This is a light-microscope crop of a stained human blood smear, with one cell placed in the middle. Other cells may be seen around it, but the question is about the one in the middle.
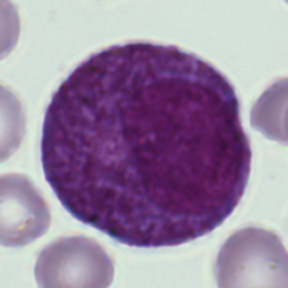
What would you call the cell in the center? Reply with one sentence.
In the center of this field lies a promyelocyte.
